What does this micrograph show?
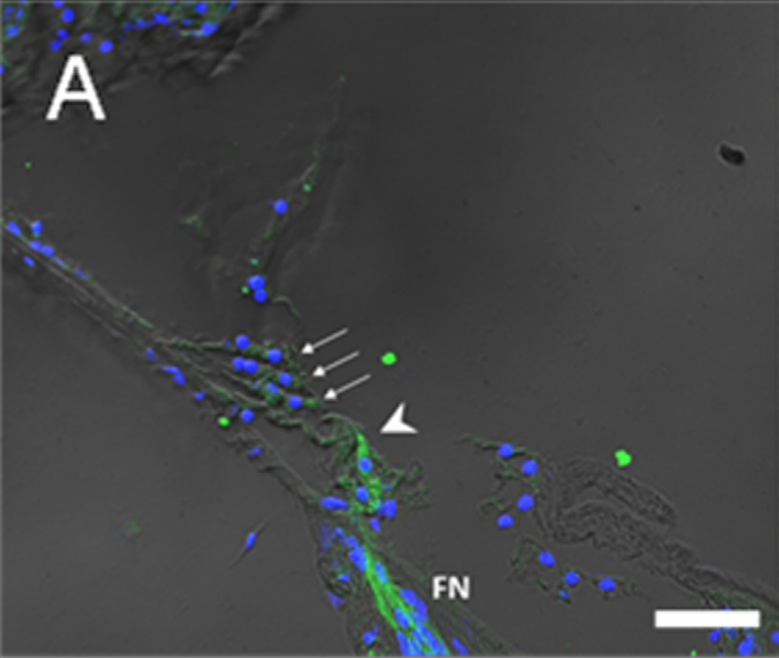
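Cross-section of the cochlear duct showing the organ of Corti with three outer hair cells and a single inner hair cell, overlaid on a grey transmitted-light image. The three outer hair cells sit one above another, each with a round blue nucleus, only faintly green. Next to them the single inner hair cell region is brightly green. Thin membranes with scattered blue nuclei border the large empty fluid space above.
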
